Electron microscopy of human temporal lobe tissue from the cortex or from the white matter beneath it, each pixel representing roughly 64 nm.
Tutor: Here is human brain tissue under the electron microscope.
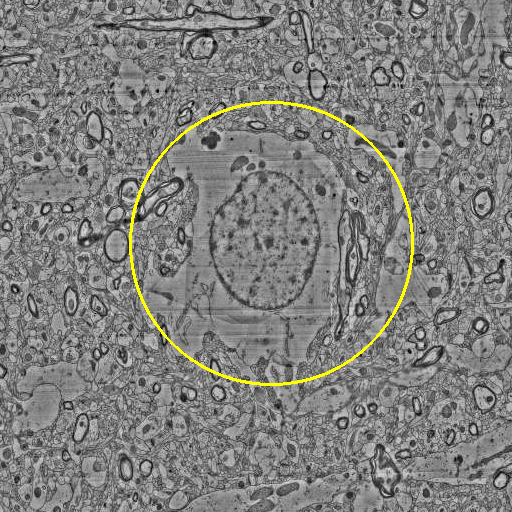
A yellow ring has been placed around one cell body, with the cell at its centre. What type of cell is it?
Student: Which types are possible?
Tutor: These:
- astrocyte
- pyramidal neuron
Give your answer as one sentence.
What the ring picks out here is an astrocyte.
